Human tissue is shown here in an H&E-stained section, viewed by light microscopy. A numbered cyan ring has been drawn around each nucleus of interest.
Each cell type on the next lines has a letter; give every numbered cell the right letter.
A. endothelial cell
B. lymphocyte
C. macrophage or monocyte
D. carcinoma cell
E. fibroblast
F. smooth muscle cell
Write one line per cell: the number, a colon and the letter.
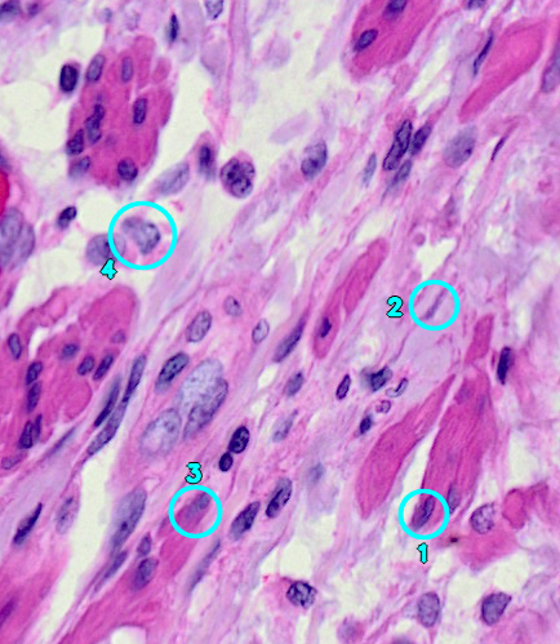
1: F
2: E
3: F
4: C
